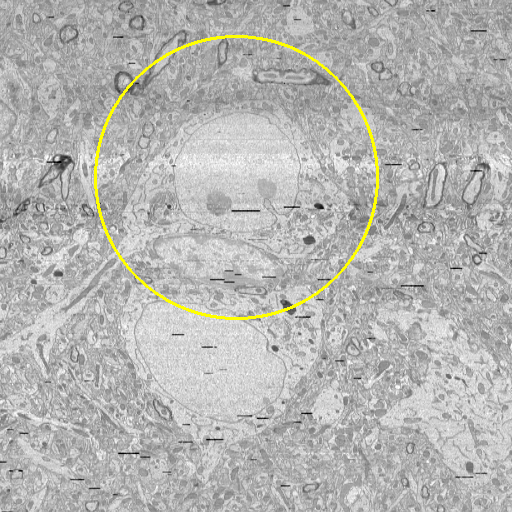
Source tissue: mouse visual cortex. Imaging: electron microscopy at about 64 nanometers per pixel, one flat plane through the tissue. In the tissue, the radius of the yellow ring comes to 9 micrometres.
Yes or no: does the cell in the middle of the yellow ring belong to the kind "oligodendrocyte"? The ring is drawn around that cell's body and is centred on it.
no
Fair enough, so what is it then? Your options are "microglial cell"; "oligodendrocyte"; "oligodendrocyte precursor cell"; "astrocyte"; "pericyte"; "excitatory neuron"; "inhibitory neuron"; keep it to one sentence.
Instead, what sits at the centre of the ring is an excitatory neuron.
